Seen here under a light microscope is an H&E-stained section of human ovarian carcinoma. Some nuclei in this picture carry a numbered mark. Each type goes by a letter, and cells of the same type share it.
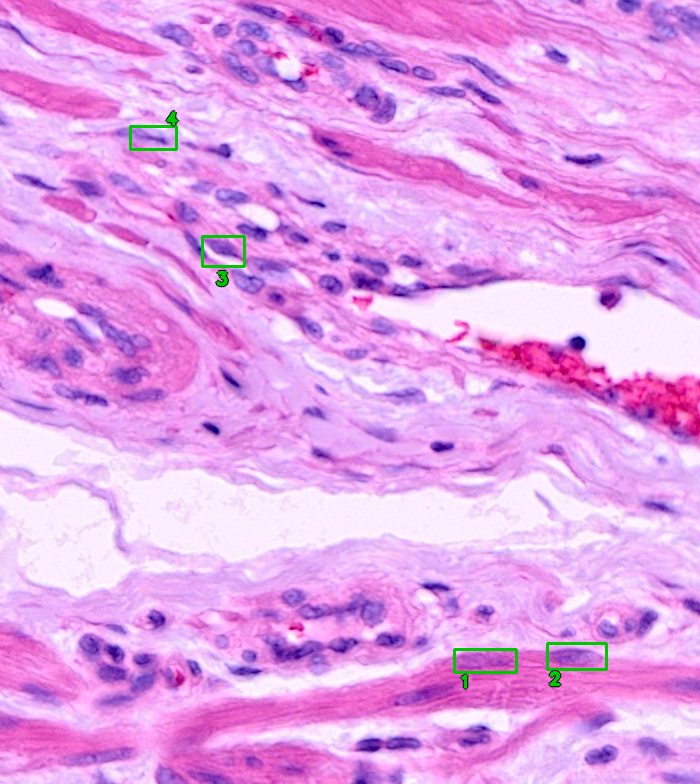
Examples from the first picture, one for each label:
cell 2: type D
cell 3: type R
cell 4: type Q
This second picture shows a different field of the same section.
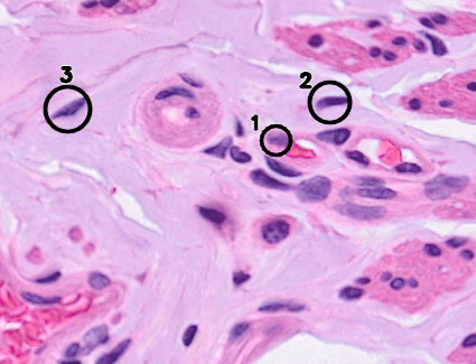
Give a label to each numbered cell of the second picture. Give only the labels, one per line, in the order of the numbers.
type R
type Q
type Q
